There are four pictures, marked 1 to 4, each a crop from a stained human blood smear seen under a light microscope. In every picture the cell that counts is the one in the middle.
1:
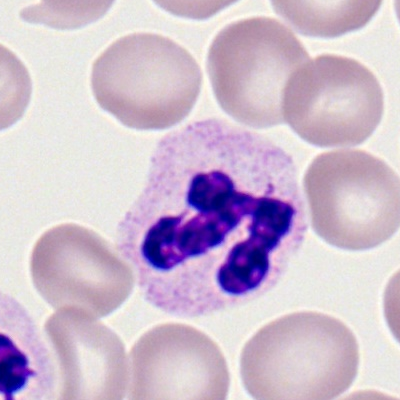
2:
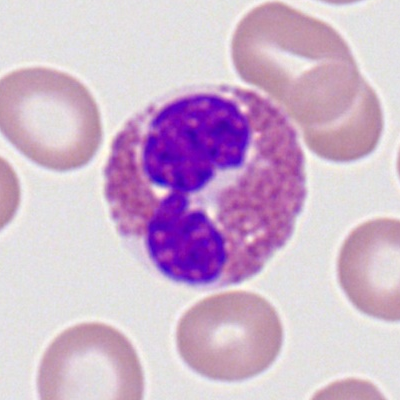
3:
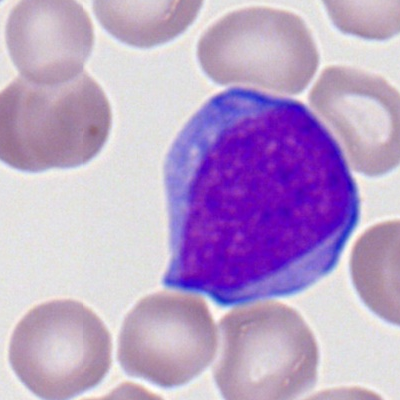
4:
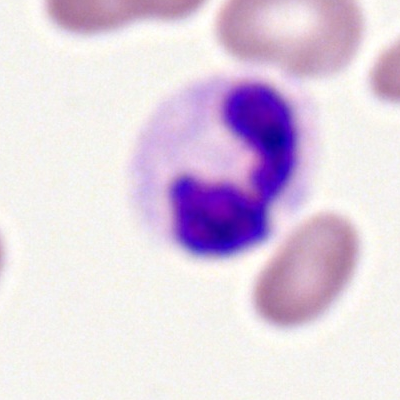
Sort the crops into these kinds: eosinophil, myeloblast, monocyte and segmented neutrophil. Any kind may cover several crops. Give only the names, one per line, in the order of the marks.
segmented neutrophil
eosinophil
myeloblast
segmented neutrophil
